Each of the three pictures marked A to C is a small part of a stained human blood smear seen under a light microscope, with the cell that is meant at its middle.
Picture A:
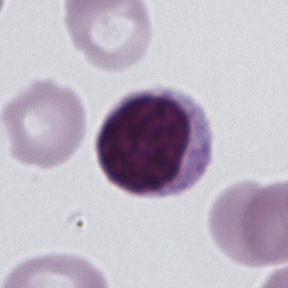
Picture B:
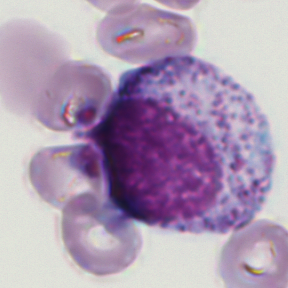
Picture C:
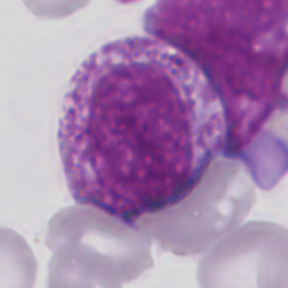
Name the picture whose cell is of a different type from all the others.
A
